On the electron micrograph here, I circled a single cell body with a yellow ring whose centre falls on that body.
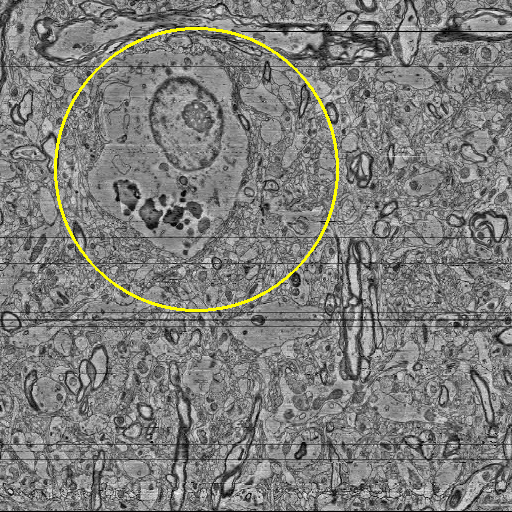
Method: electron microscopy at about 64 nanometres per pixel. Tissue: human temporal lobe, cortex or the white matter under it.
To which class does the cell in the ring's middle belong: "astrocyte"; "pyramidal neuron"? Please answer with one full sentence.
In this picture, the cell body circled at the ring's centre belongs to an astrocyte.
